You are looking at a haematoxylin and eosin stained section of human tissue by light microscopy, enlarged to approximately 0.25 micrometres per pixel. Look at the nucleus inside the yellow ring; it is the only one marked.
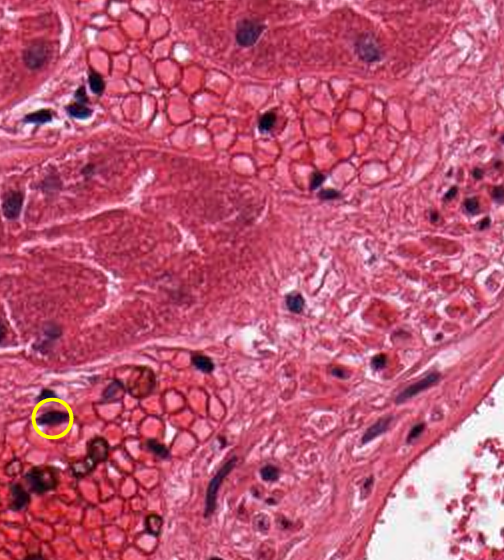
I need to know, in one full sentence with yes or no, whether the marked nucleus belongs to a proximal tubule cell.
No, the marked nucleus belongs to a supporting cell, not to a proximal tubule cell.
